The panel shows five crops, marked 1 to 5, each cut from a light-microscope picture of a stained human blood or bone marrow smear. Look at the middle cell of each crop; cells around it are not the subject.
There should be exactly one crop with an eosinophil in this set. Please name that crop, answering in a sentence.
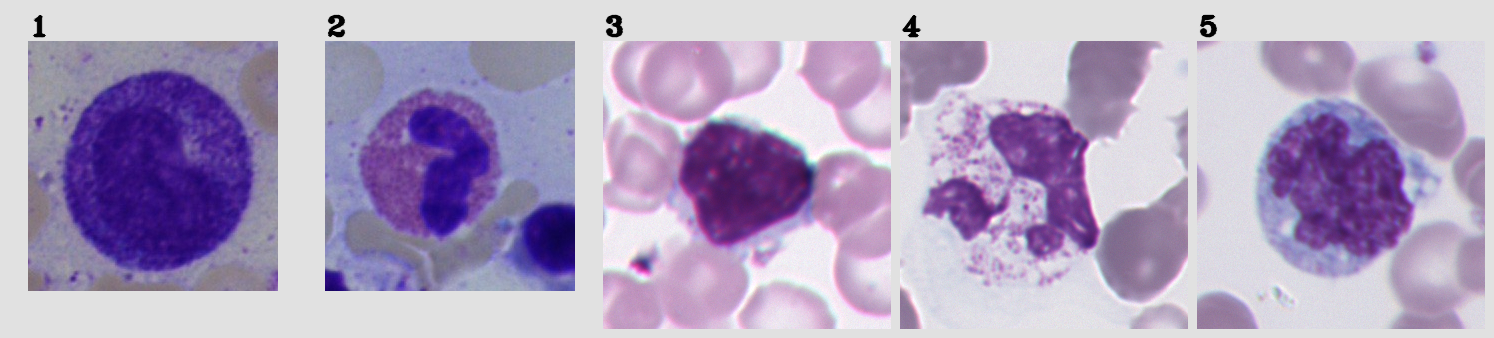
It is the cell in crop 2 that is an eosinophil.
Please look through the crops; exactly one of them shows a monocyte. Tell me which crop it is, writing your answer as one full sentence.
The one crop in the set with a monocyte is crop 5.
